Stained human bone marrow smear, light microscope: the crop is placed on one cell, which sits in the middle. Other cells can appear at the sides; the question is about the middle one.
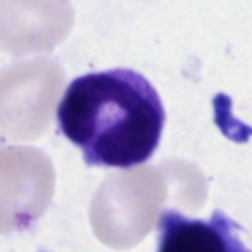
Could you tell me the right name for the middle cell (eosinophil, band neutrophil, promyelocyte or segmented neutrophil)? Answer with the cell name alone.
segmented neutrophil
